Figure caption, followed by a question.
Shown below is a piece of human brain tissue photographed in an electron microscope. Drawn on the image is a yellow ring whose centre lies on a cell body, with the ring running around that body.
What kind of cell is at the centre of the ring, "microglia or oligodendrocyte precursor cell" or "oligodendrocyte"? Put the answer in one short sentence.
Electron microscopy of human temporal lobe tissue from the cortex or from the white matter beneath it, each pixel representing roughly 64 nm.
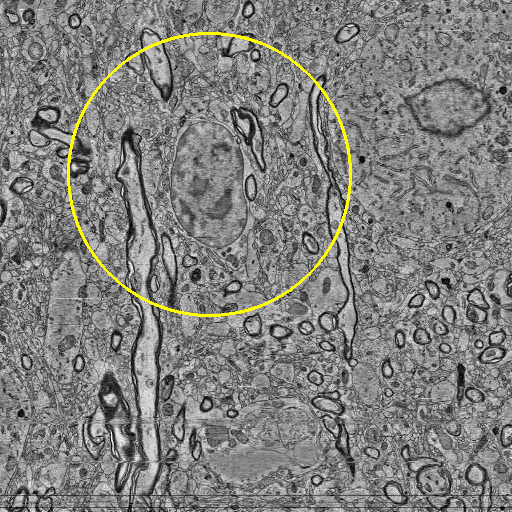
The ring marks the cell body of a microglial cell or oligodendrocyte precursor cell.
